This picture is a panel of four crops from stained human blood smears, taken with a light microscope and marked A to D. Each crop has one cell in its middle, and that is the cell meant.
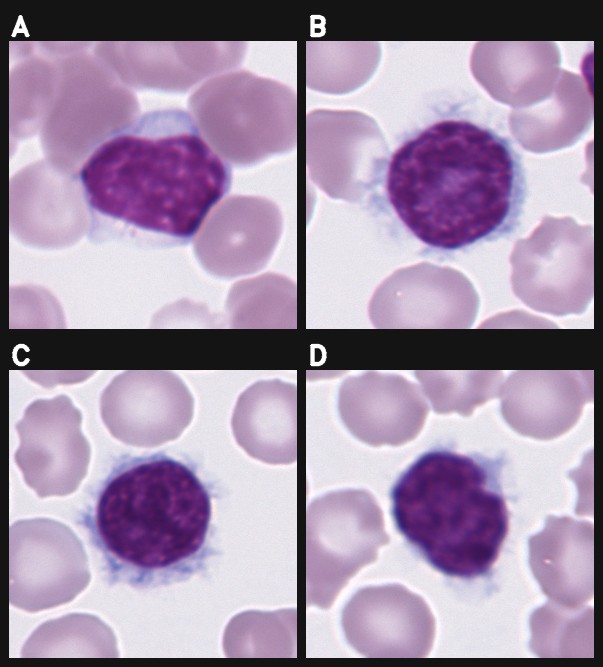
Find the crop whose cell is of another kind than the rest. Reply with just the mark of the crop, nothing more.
A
